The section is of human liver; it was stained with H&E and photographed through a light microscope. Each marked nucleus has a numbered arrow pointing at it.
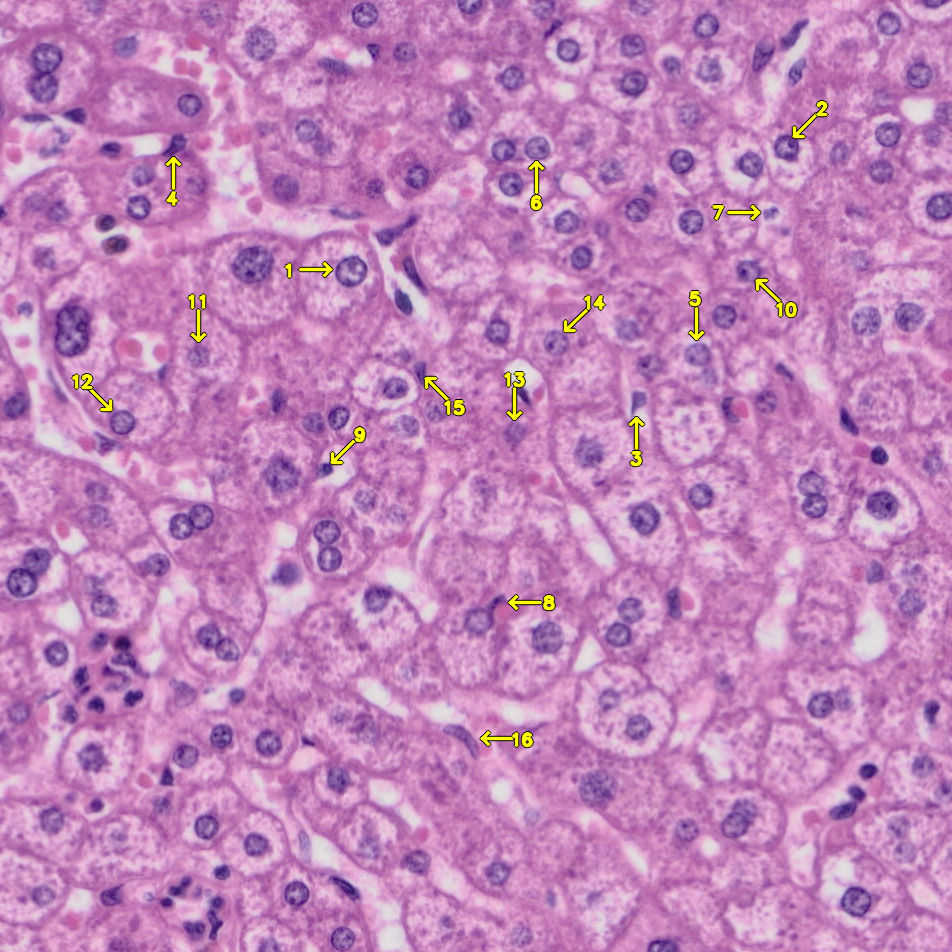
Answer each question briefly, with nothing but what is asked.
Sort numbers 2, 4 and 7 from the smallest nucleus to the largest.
7, 4, 2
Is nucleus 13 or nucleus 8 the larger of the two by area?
13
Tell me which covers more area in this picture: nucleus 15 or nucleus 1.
1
